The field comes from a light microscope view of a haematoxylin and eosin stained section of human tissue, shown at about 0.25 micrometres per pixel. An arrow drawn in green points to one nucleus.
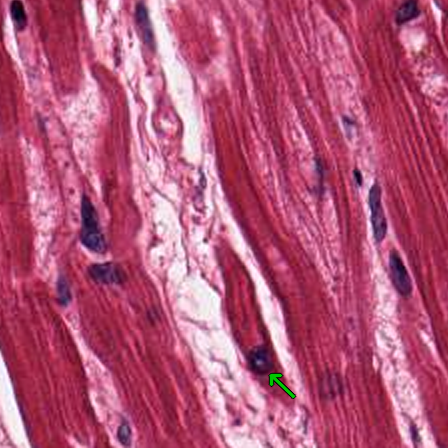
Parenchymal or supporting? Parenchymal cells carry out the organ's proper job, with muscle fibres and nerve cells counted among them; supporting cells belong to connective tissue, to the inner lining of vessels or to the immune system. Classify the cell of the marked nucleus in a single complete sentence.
What the marked nucleus belongs to is a parenchymal cell, namely a cardiomyocyte.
